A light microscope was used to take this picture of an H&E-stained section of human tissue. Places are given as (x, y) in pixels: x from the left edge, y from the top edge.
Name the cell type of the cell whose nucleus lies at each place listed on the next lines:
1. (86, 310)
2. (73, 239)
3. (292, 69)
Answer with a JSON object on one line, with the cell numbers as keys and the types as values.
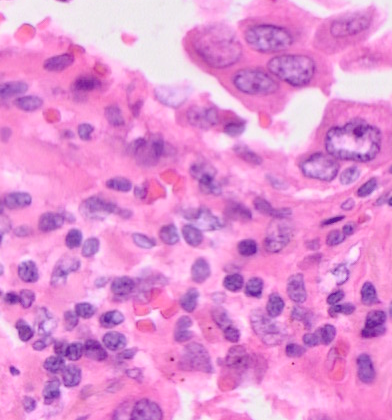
{"1": "lymphocyte", "2": "lymphocyte", "3": "carcinoma cell"}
